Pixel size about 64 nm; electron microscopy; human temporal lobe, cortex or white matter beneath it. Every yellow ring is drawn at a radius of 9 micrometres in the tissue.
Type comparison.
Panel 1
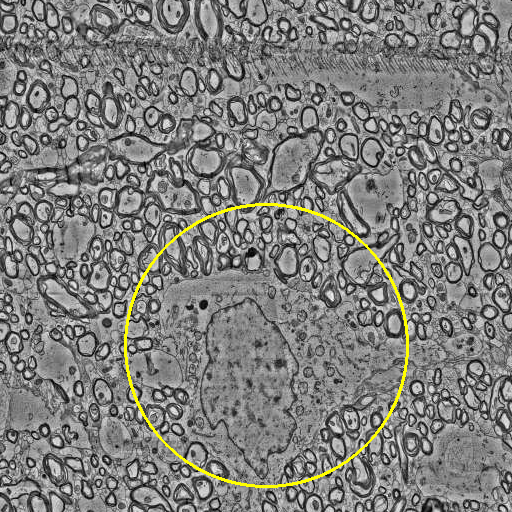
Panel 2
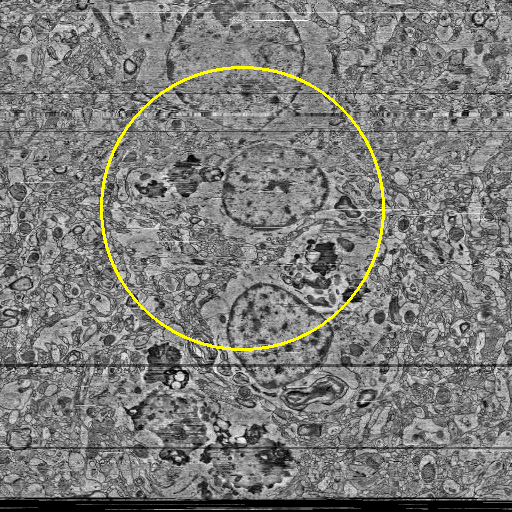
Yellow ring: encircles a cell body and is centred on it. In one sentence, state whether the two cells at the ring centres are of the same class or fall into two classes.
In these panels, the two cells at the ring centres fall into two classes.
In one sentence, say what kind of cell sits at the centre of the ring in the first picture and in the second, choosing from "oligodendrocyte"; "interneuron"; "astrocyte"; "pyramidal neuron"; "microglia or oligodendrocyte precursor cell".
The first picture's ringed cell is a pyramidal neuron, while the second picture's is an astrocyte.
